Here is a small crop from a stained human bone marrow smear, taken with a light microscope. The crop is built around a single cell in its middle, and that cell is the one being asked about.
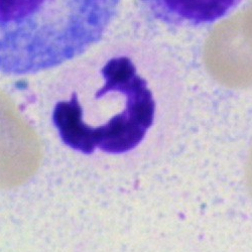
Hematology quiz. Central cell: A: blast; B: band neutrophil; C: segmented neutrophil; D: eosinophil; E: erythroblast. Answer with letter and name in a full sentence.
The cell in the centre of the crop is a segmented neutrophil, so option C is the correct one.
